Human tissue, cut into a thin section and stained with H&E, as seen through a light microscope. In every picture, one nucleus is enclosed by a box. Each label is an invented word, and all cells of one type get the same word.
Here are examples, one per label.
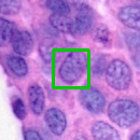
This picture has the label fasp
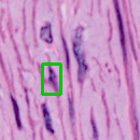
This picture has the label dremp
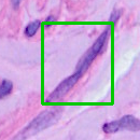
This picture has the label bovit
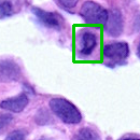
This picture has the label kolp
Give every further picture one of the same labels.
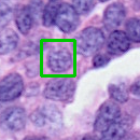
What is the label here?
fasp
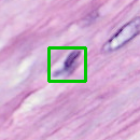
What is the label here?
kolp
